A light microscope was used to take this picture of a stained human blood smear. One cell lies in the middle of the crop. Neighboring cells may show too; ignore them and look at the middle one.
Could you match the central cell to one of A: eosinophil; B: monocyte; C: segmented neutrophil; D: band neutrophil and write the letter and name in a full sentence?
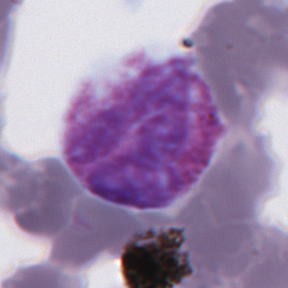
The correct option here is A; the middle cell is an eosinophil.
